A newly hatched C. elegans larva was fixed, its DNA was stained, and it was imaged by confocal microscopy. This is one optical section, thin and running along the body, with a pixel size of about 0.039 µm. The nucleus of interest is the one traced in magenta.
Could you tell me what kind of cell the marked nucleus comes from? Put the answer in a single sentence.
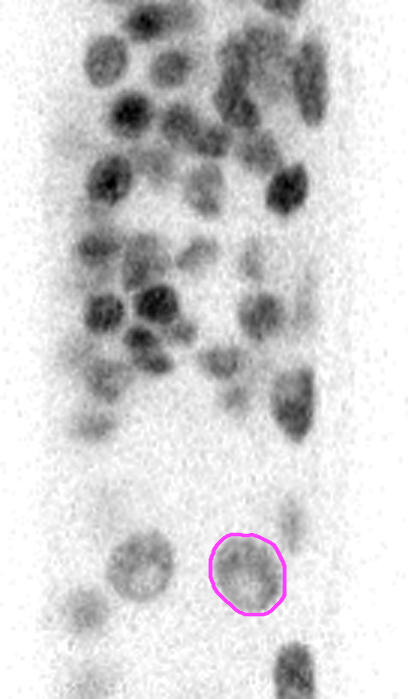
The marked cell is an intestinal cell.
